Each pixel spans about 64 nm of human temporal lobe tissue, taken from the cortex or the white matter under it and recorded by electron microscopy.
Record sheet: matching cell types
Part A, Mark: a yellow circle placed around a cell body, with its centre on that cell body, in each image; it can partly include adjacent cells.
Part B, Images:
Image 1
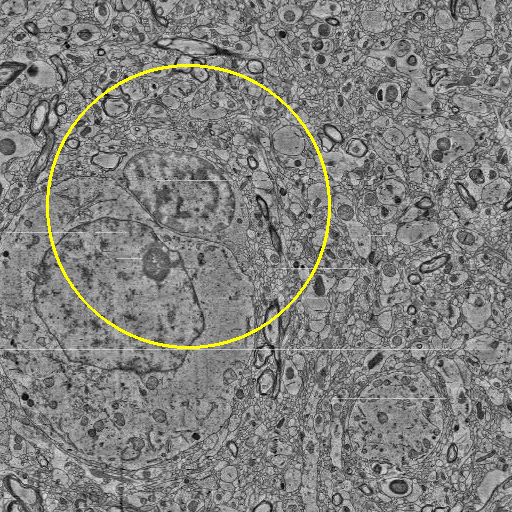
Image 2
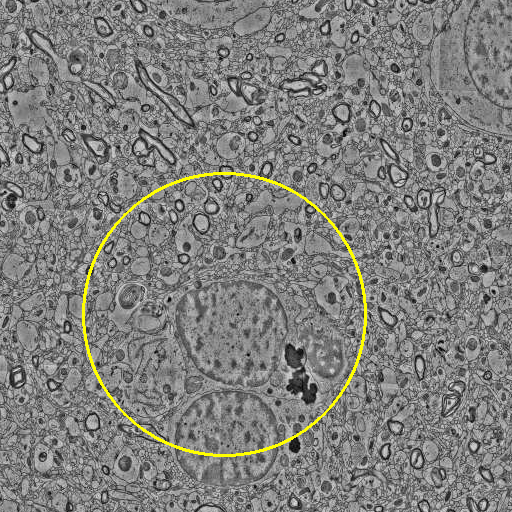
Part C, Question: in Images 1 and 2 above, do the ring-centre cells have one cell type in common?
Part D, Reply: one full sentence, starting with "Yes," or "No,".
Yes, the ring-centre cells of Image 1 and Image 2 are both of a single cell type.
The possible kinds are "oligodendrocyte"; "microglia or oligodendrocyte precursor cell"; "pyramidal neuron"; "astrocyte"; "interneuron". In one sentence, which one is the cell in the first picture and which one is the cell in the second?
The cell in the first picture is an oligodendrocyte, and so is the one in the second.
